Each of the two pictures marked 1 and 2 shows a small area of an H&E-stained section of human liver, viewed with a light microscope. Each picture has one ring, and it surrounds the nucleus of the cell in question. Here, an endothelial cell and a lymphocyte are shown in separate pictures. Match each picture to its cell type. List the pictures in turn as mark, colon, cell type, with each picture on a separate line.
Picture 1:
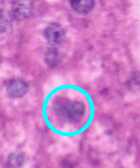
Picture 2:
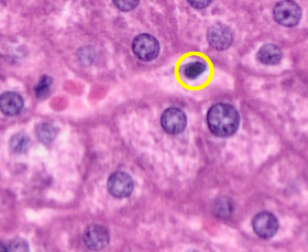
1: endothelial cell
2: lymphocyte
